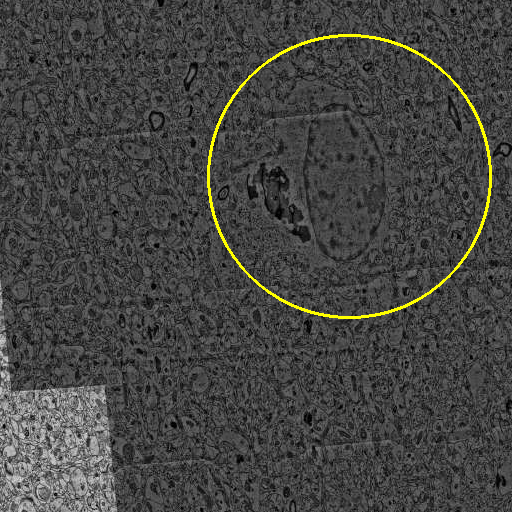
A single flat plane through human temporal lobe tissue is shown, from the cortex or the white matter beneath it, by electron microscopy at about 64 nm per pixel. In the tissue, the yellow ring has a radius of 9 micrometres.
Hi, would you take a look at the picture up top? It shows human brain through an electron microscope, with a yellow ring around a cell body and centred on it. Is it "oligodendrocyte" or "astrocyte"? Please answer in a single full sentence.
The best fit for the cell in the middle of the ring is an astrocyte, I reckon.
